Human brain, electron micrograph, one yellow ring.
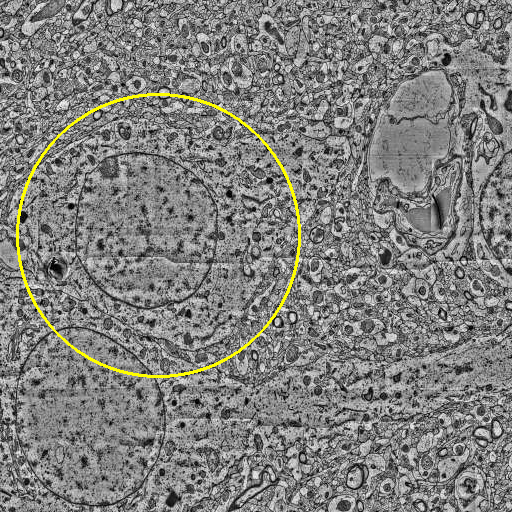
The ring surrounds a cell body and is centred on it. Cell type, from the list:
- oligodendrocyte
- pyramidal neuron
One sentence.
The yellow ring circles a pyramidal neuron.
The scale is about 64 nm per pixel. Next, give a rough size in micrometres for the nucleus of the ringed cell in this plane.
About 11 micrometres by about 10 micrometres in this plane.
